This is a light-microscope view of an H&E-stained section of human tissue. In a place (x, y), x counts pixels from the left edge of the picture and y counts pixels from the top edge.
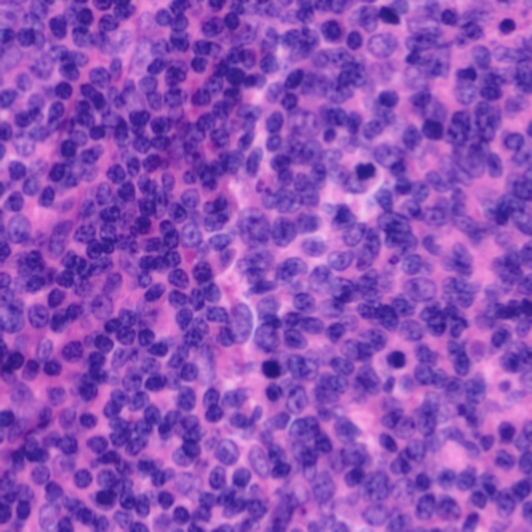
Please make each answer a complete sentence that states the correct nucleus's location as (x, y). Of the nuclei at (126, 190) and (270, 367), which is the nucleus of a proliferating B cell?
The nucleus at (270, 367) is the member of the pair belonging to a proliferating B cell.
